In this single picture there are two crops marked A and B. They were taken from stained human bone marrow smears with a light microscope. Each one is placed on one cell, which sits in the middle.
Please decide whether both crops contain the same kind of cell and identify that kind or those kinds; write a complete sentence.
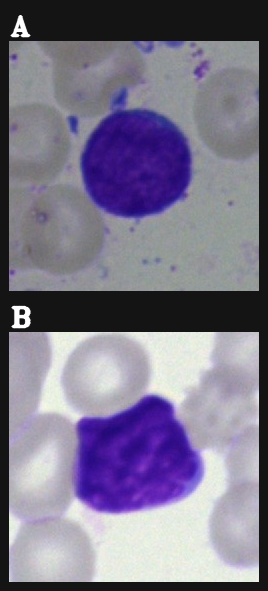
No, crop A is where a lymphocyte is shown, and crop B is where a blast is shown.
